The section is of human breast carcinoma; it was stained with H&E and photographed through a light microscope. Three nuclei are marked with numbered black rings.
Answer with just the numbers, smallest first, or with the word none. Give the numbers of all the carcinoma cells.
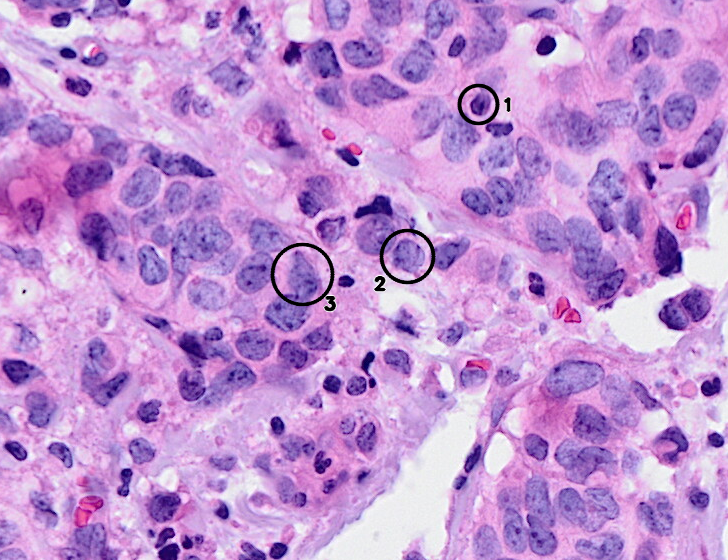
2, 3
